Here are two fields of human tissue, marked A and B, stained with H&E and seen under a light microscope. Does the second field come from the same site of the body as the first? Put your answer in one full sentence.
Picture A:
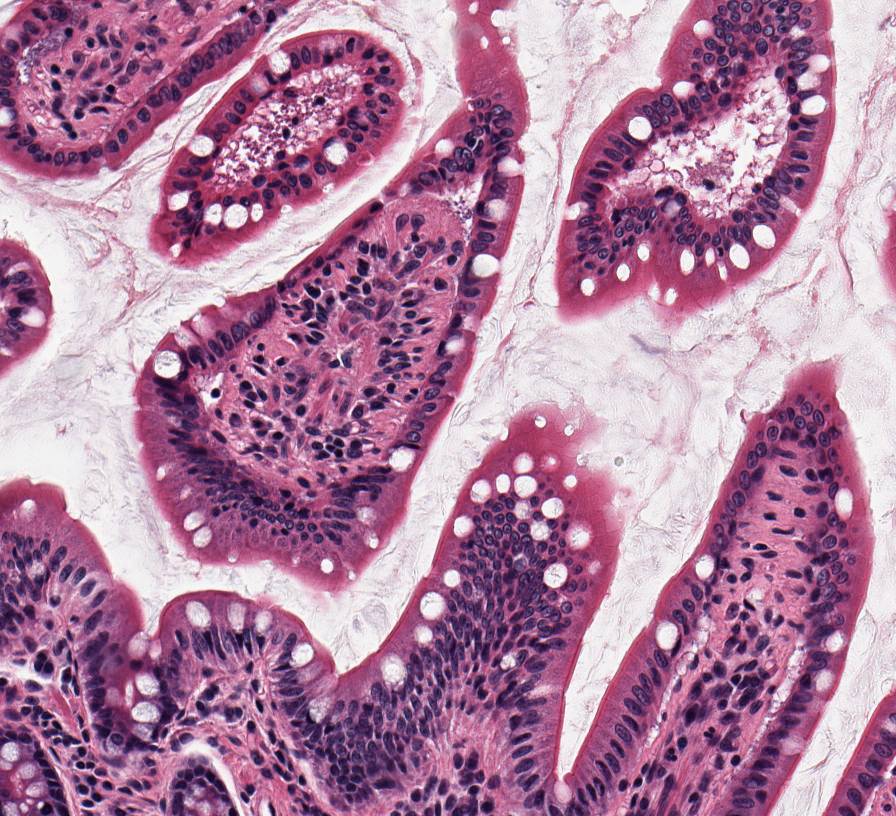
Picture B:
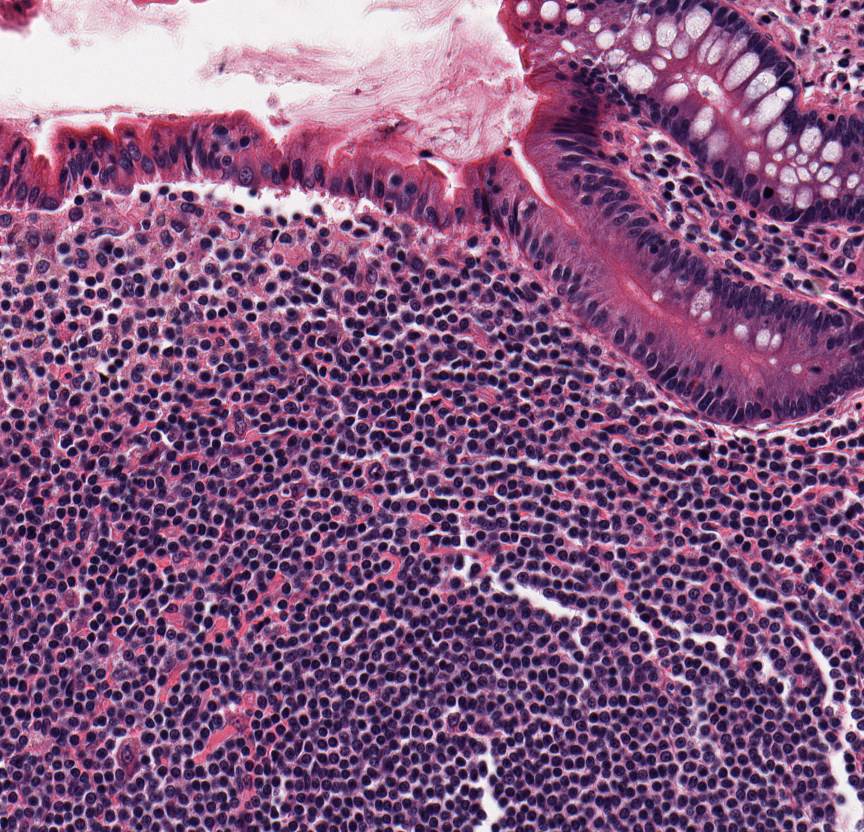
Yes, the two fields both come from the terminal ileum.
